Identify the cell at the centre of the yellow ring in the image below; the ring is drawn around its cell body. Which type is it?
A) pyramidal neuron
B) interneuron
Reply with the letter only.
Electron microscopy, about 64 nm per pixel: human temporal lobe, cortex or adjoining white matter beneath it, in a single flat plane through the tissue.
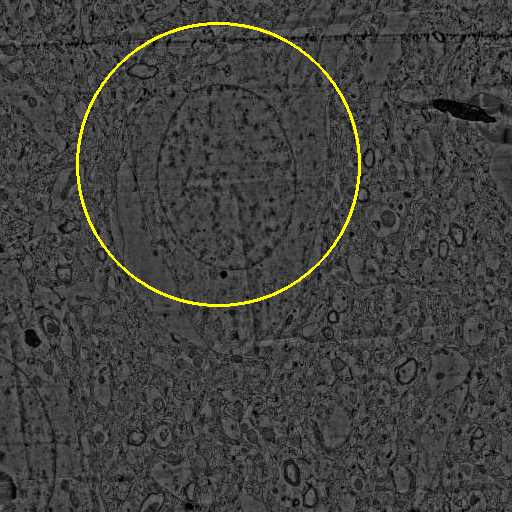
A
